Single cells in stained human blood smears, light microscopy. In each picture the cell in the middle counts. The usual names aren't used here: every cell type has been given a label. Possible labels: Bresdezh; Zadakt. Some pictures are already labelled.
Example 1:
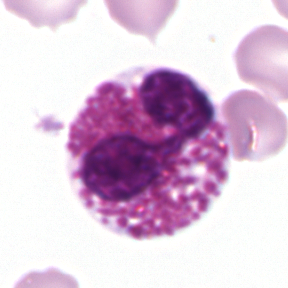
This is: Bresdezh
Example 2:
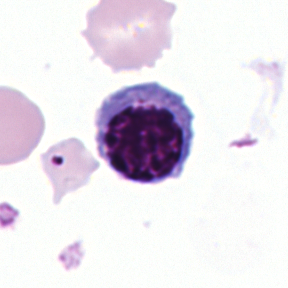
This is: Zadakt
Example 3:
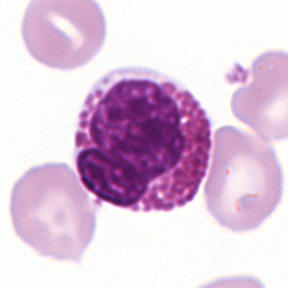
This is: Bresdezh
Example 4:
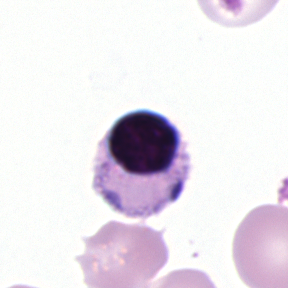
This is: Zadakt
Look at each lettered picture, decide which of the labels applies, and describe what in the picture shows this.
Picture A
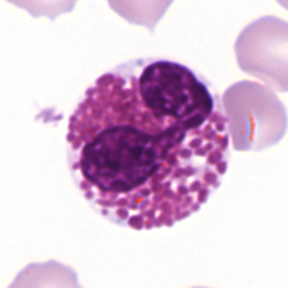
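Bresdezh. Reason: One nuclear lobe lies at the upper right and the other at the lower left.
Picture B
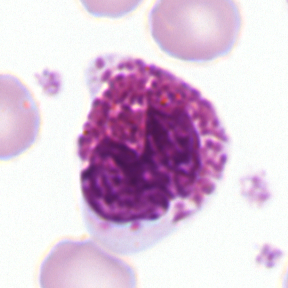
Bresdezh. Reason: The cell is crowded with coarse, dark purple granules.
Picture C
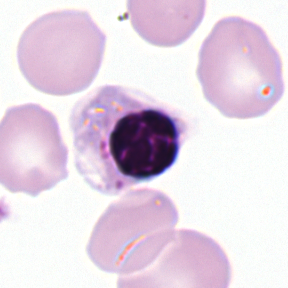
Zadakt. Reason: A few small purple granules are scattered in the cytoplasm.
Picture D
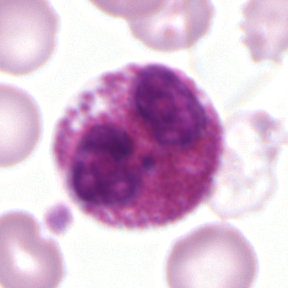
Bresdezh. Reason: The nucleus has two lobes.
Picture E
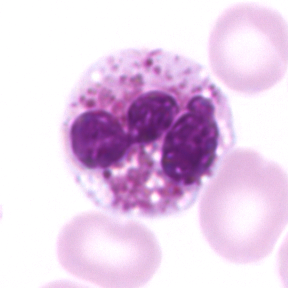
Bresdezh. Reason: Coarse reddish-purple granules are scattered through the cytoplasm, mostly above and below the nucleus.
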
